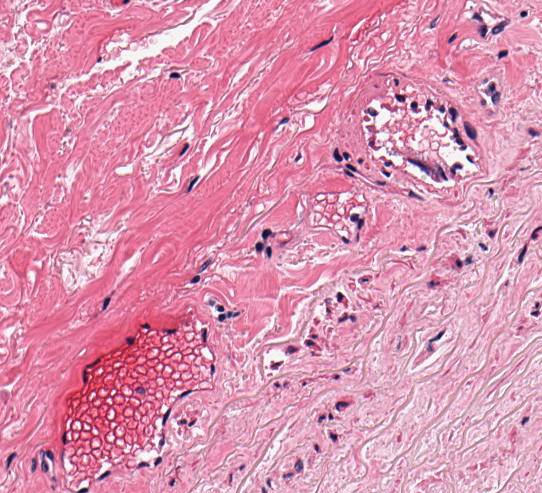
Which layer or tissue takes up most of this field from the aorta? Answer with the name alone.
tunica adventitia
